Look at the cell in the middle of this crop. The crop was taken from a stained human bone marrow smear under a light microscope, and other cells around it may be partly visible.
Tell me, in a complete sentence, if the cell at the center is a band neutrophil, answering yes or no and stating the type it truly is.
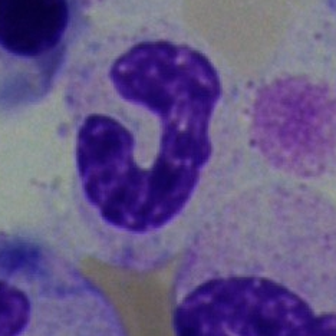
Yes, the cell shown in the middle is a band neutrophil.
